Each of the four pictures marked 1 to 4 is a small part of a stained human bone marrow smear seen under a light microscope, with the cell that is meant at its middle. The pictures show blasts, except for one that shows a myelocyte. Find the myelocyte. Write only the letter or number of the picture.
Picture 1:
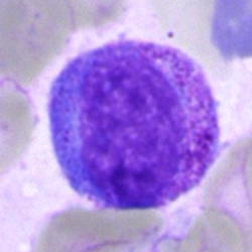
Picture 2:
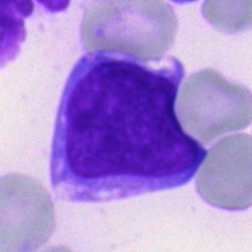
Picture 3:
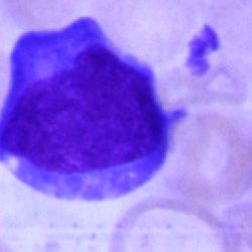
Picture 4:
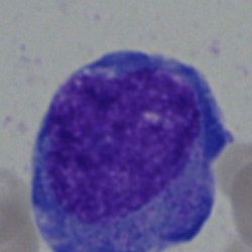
1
